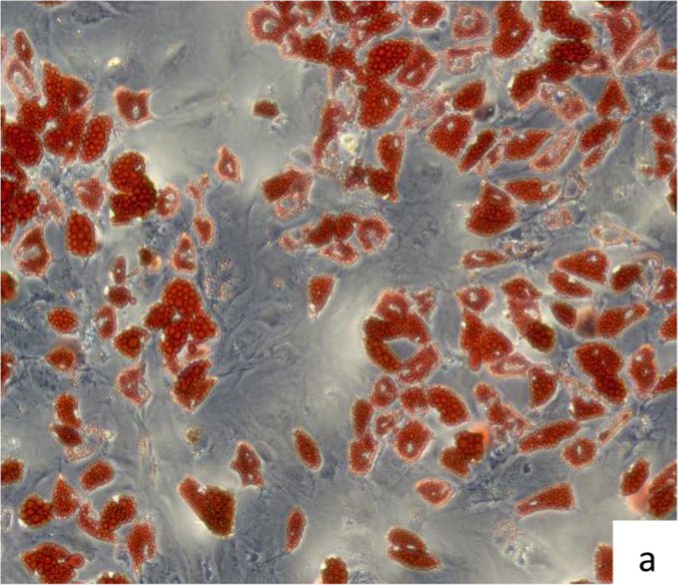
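This cultured cell layer shows adipogenic differentiation, with many cells filled with red-stained lipid droplets. The differentiated cells are rounded to polygonal, and their cytoplasm is packed with numerous small round red droplets that often hide the nucleus. Between them lie flat, pale, spindle-shaped cells without red droplets, forming a grey background monolayer.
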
